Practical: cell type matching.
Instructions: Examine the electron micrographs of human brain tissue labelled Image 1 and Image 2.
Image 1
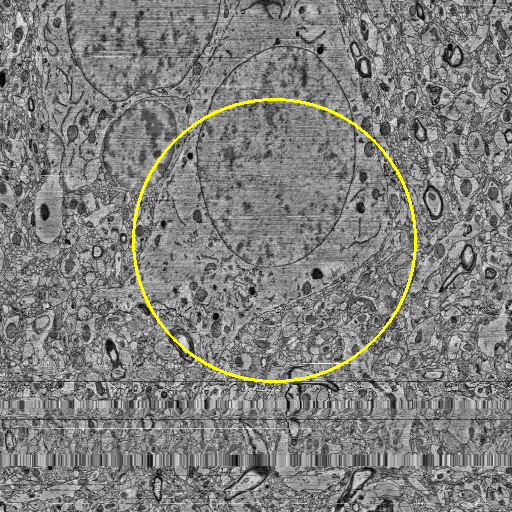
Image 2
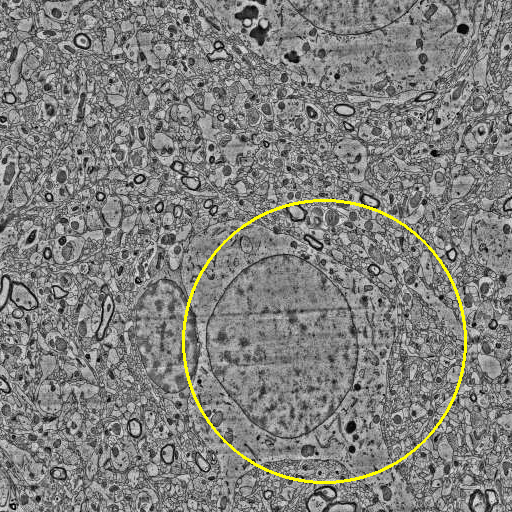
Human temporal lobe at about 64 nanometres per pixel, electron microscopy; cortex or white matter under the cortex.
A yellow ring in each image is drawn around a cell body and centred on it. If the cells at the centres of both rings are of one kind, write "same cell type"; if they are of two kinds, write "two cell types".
same cell type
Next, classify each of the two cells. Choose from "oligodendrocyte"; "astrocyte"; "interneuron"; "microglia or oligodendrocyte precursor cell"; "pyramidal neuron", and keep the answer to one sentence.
The cell in the first picture is a pyramidal neuron, and so is the one in the second.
